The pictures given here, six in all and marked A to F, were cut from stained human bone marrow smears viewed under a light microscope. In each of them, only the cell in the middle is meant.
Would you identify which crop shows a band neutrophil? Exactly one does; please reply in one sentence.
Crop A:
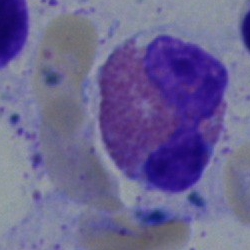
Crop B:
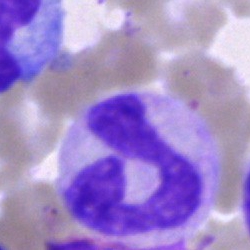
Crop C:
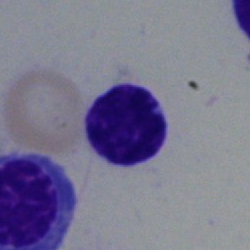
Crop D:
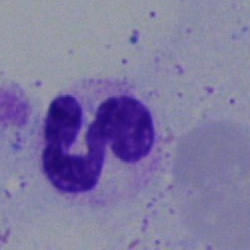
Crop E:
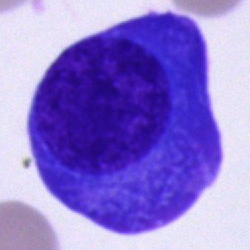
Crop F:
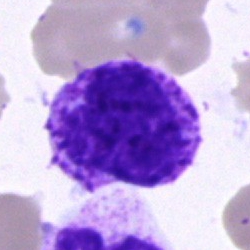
The crop marked B is the one that shows a band neutrophil.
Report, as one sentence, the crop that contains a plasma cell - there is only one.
Crop E, of the crops presented, is the one showing a plasma cell.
